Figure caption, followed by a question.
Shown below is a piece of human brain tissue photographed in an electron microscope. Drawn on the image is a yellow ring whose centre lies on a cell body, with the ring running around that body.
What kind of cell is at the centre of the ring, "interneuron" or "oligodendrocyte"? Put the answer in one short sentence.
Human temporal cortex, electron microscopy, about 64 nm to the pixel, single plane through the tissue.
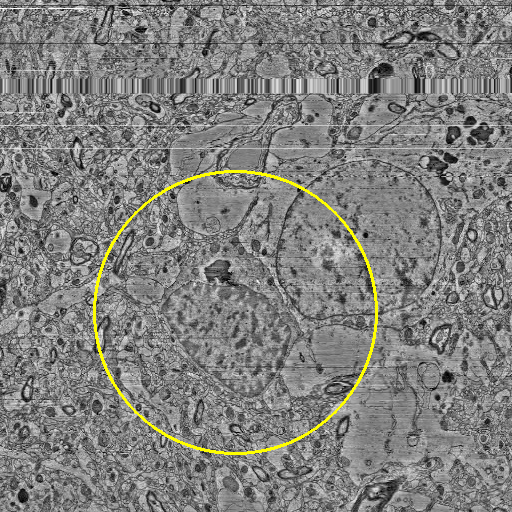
The ring marks the cell body of an oligodendrocyte.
